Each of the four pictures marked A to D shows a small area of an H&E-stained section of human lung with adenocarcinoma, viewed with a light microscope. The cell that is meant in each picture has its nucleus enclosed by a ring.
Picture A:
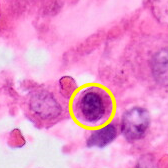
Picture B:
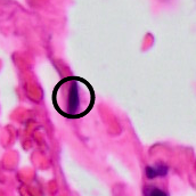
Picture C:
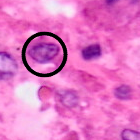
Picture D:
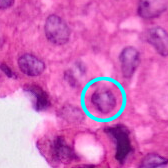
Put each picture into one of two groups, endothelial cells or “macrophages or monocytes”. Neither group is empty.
A: macrophage or monocyte
B: endothelial cell
C: macrophage or monocyte
D: macrophage or monocyte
